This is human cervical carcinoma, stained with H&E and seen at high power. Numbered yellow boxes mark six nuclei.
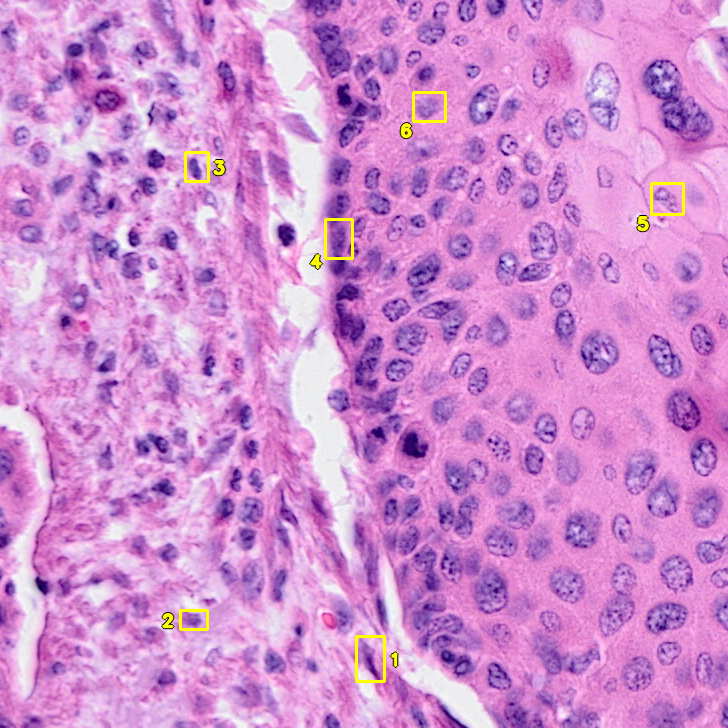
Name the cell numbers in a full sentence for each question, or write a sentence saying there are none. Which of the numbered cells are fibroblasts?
The cells numbered 1 and 2 are of one kind: fibroblasts.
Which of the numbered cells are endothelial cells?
The cells whose nuclei carry numbers are not endothelial cells.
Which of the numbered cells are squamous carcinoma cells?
To be specific, the cells numbered 4, 5 and 6 are squamous carcinoma cells.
